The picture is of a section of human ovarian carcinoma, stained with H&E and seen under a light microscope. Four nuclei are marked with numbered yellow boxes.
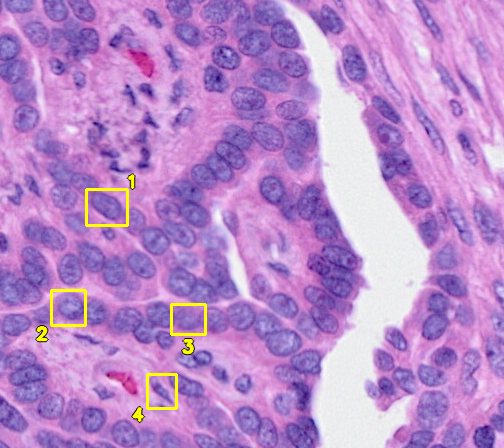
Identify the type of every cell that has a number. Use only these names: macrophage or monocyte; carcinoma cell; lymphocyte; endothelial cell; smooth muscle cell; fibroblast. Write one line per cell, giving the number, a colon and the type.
1: carcinoma cell
2: carcinoma cell
3: carcinoma cell
4: fibroblast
